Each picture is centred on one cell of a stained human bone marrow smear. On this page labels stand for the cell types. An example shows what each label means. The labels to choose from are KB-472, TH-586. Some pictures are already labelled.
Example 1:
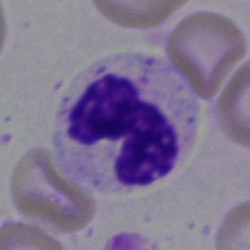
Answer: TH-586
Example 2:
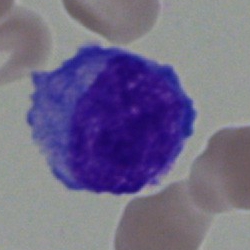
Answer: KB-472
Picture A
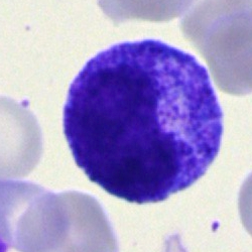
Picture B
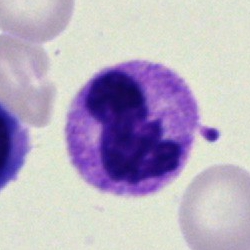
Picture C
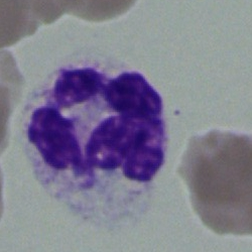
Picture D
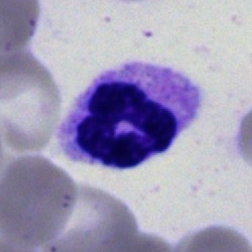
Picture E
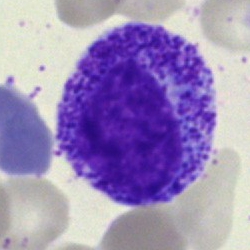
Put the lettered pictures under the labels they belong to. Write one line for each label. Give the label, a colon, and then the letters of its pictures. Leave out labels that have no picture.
KB-472: A, E
TH-586: B, C, D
